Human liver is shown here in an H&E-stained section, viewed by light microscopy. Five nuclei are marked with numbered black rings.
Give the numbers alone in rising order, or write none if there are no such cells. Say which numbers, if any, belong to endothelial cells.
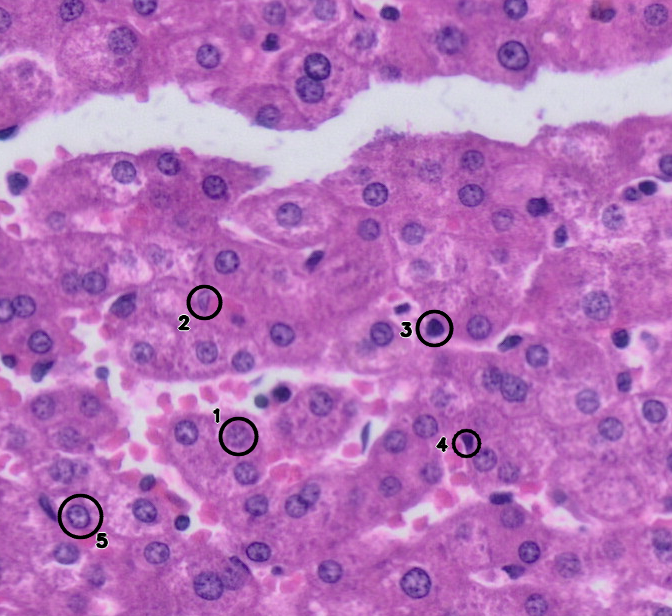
2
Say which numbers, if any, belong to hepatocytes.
1, 5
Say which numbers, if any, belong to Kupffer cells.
none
